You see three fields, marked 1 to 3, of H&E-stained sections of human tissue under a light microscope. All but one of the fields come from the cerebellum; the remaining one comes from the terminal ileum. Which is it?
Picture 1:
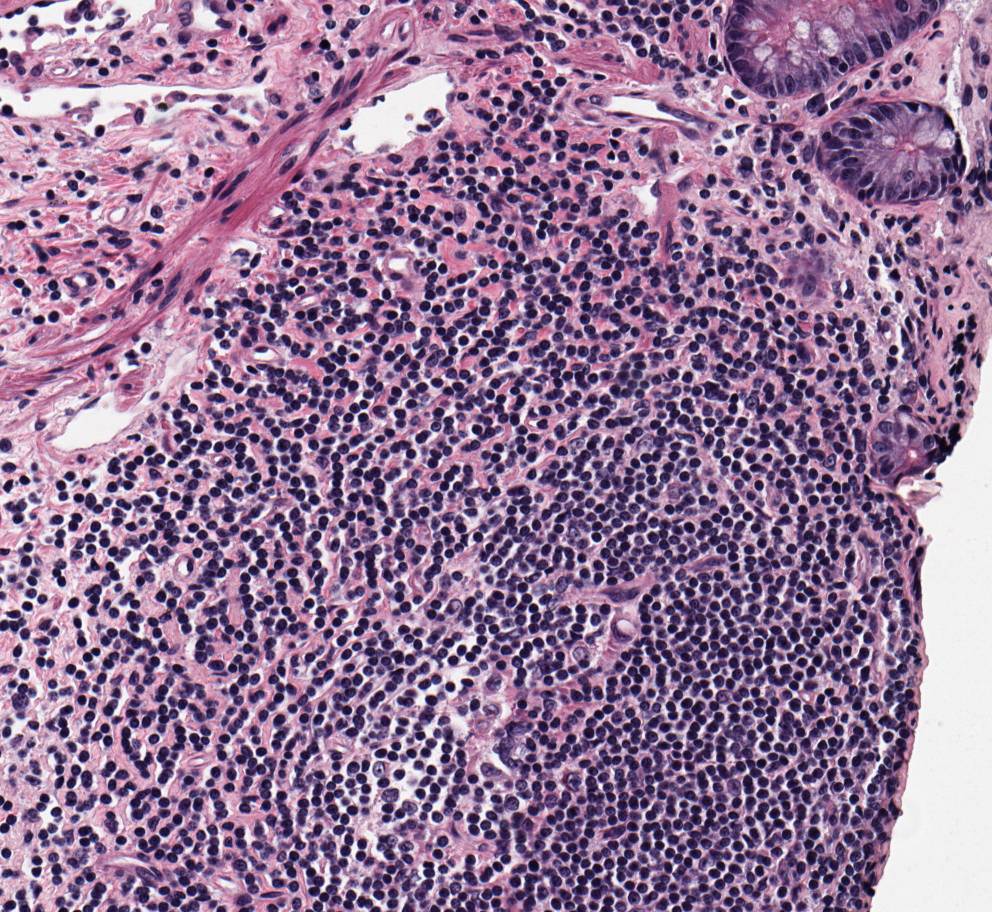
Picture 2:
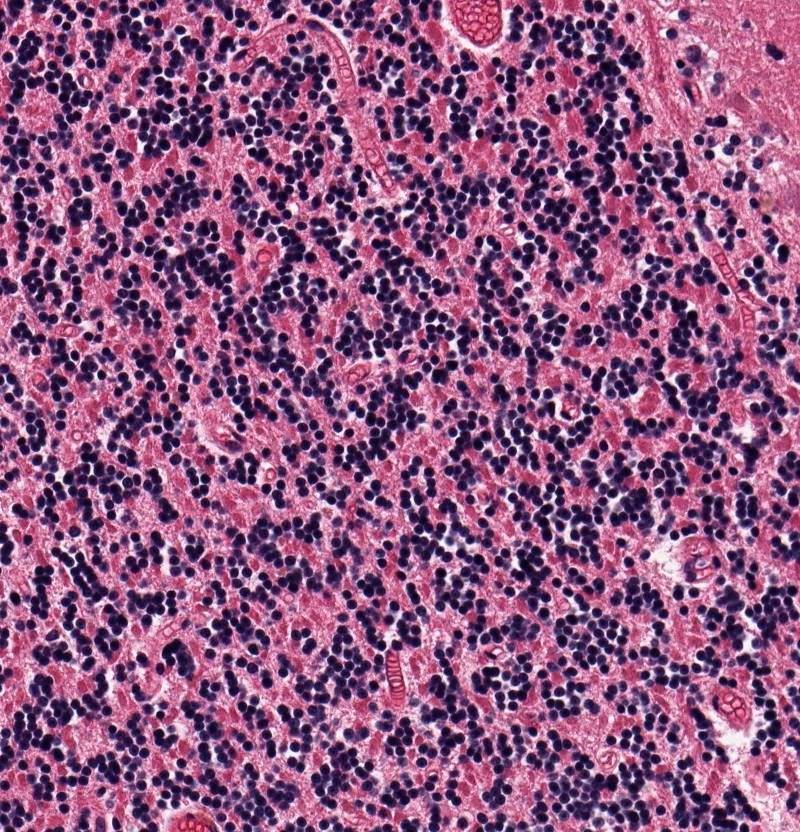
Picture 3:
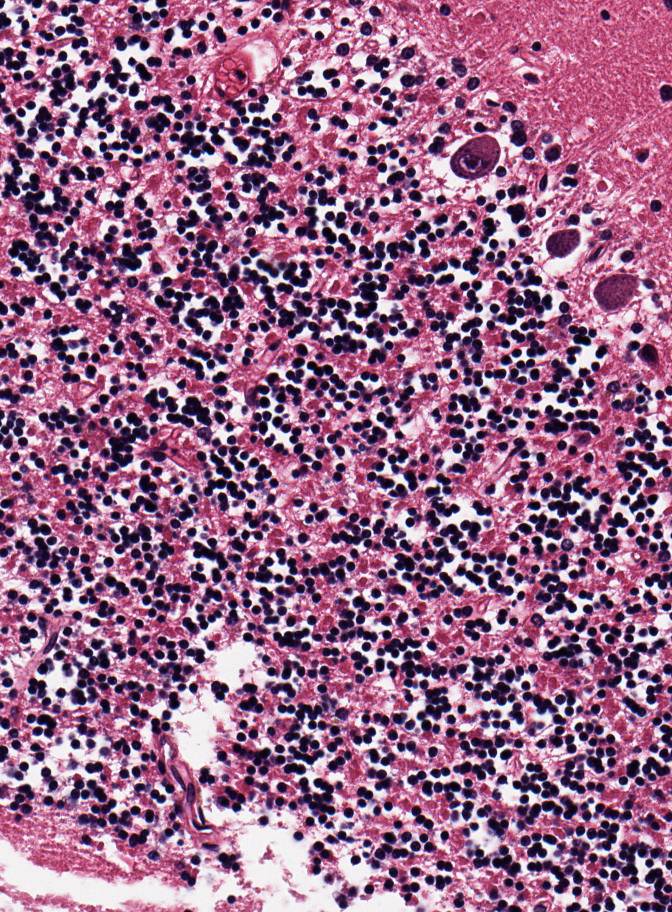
1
